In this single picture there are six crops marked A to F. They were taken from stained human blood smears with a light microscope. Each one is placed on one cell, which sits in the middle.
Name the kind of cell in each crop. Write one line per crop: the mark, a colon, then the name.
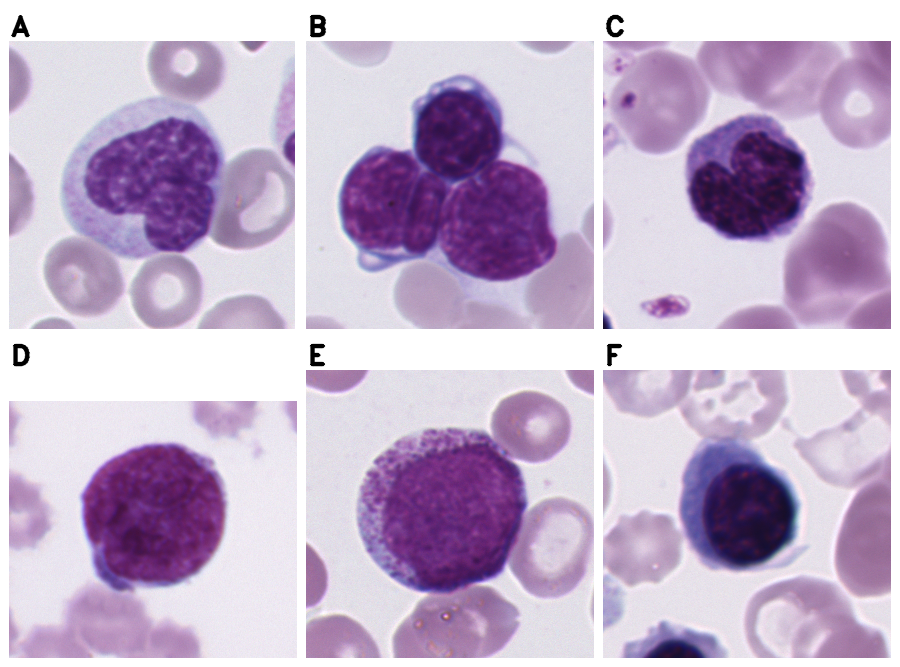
A: band neutrophil
B: myeloblast
C: monocyte
D: myeloblast
E: myelocyte
F: normoblast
